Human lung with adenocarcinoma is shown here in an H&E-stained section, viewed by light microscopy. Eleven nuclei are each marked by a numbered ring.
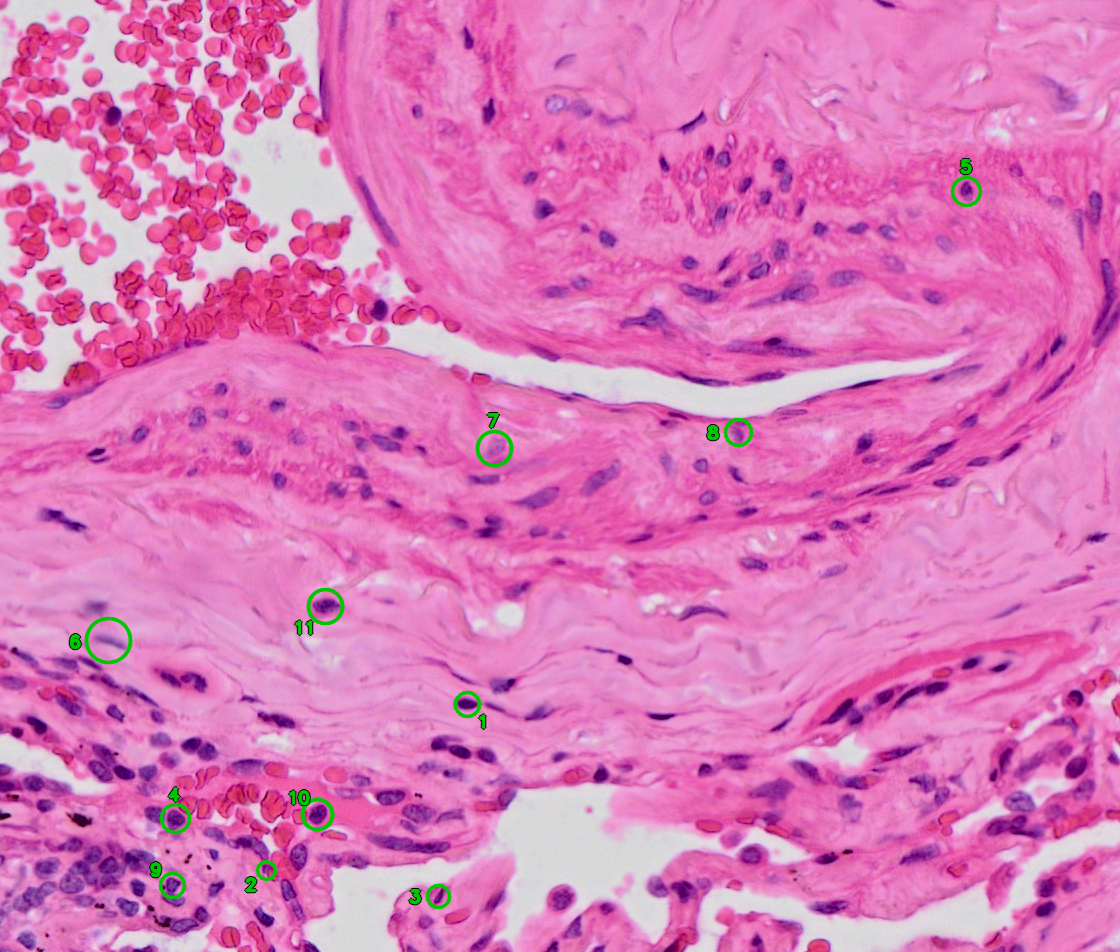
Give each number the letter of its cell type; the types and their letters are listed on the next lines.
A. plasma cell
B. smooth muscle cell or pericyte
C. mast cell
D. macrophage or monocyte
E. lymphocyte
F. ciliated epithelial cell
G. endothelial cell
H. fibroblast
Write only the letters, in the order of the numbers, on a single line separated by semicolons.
C; G; G; E; B; H; B; B; E; E; C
